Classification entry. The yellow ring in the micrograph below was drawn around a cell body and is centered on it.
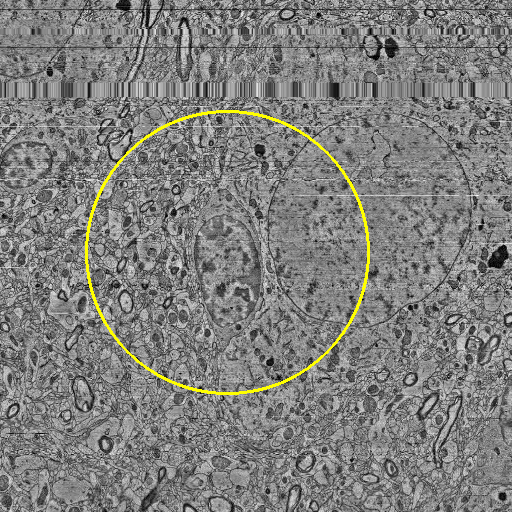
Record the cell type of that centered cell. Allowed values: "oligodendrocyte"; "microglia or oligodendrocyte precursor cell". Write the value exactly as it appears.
oligodendrocyte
